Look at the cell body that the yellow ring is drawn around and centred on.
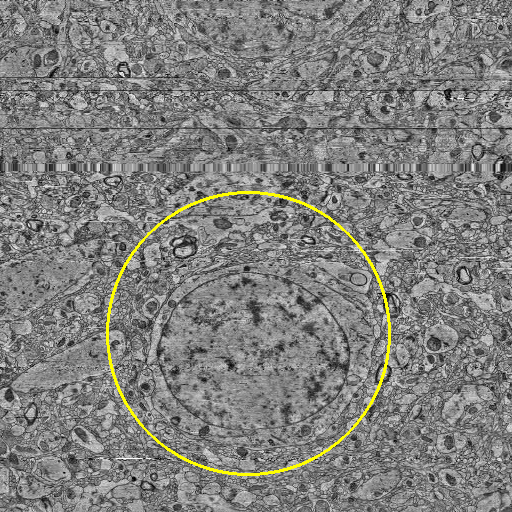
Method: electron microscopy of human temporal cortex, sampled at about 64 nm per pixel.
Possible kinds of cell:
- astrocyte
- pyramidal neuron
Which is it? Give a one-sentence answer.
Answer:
The centred cell body is that of a pyramidal neuron.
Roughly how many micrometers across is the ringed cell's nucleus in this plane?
Approximately 12 micrometres across, in this plane.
